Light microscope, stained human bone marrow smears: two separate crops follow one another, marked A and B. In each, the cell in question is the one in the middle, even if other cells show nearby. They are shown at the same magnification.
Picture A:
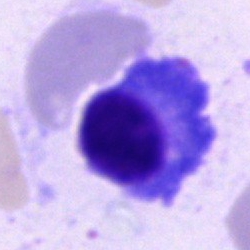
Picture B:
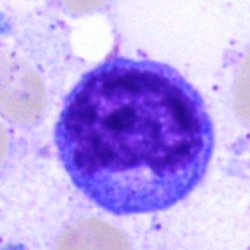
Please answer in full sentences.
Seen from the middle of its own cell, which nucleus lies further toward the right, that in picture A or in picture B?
In picture B the nucleus is shifted more toward the right.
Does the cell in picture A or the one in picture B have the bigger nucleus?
It is the nucleus in picture B, about 2 times as large in area as the one in picture A.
